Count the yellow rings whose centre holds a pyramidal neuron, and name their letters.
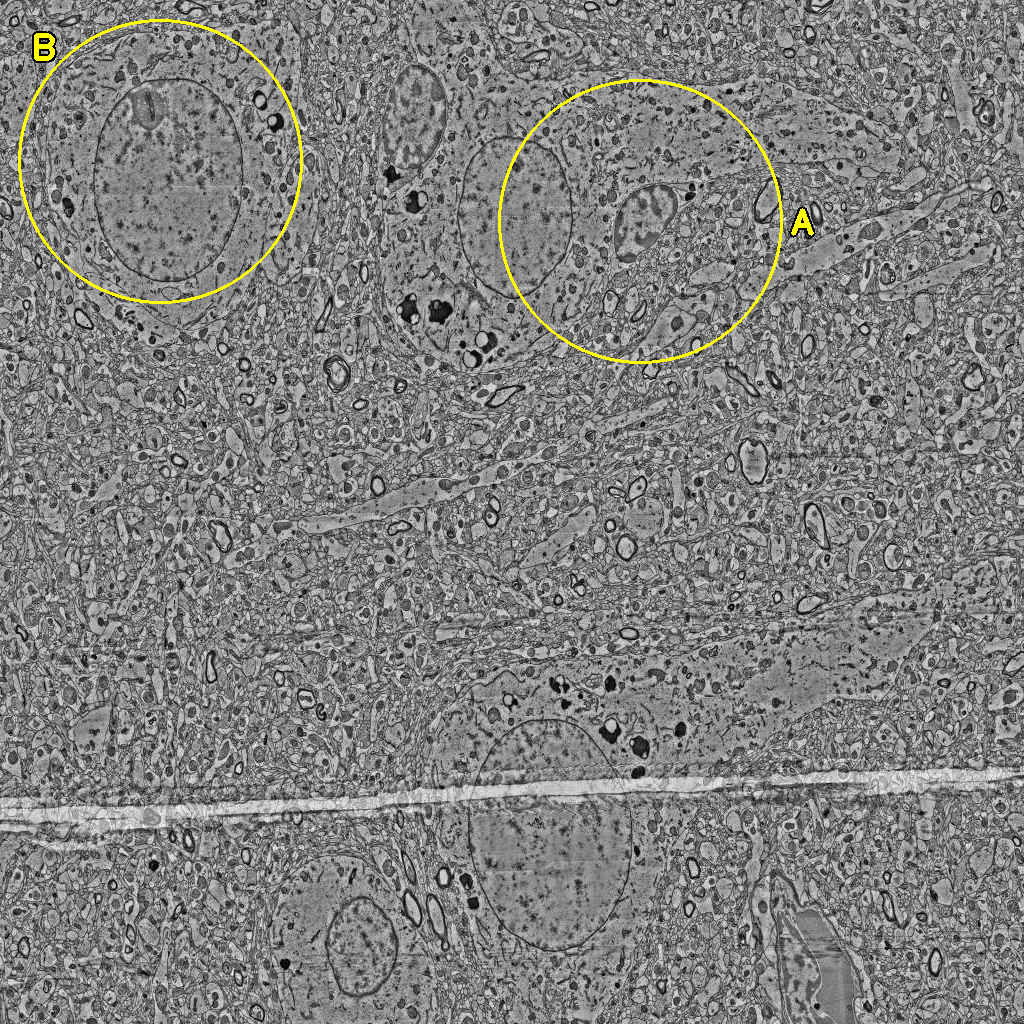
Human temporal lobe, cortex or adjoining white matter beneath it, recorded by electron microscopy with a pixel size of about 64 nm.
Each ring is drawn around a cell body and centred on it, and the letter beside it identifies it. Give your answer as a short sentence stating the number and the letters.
The count of rings centred on a pyramidal neuron is one, and that ring bears the letter B.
